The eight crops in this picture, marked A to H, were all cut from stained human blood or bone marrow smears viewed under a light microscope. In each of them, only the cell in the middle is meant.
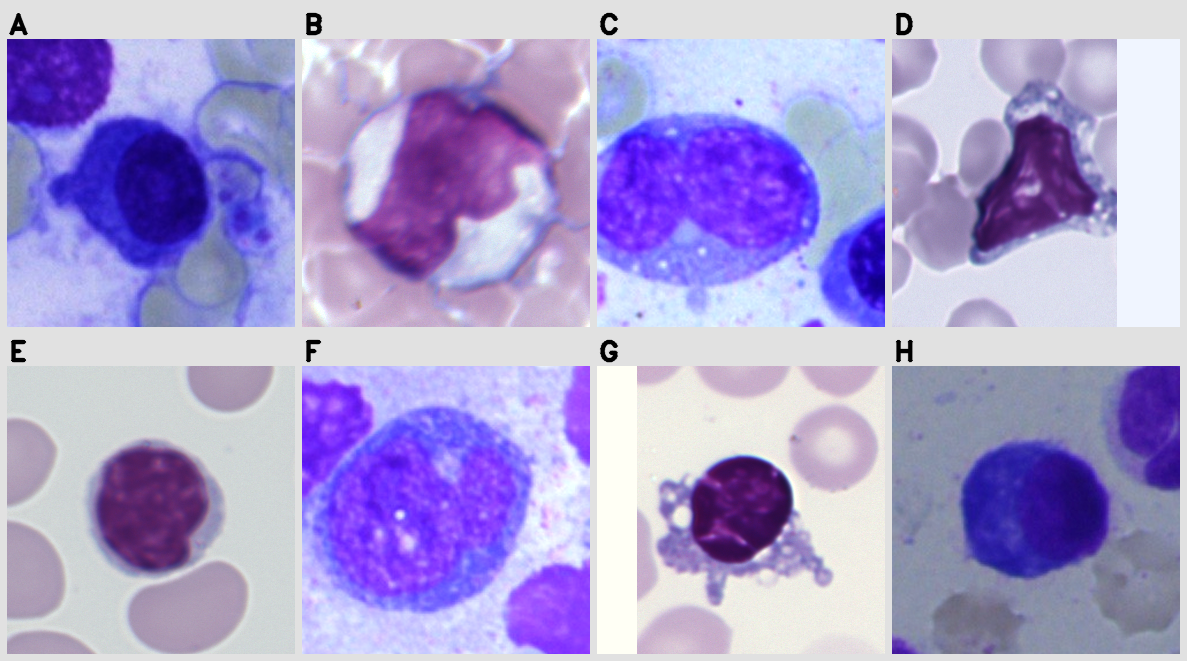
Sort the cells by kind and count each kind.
monocyte: 3
lymphocyte: 3
plasma cell: 2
